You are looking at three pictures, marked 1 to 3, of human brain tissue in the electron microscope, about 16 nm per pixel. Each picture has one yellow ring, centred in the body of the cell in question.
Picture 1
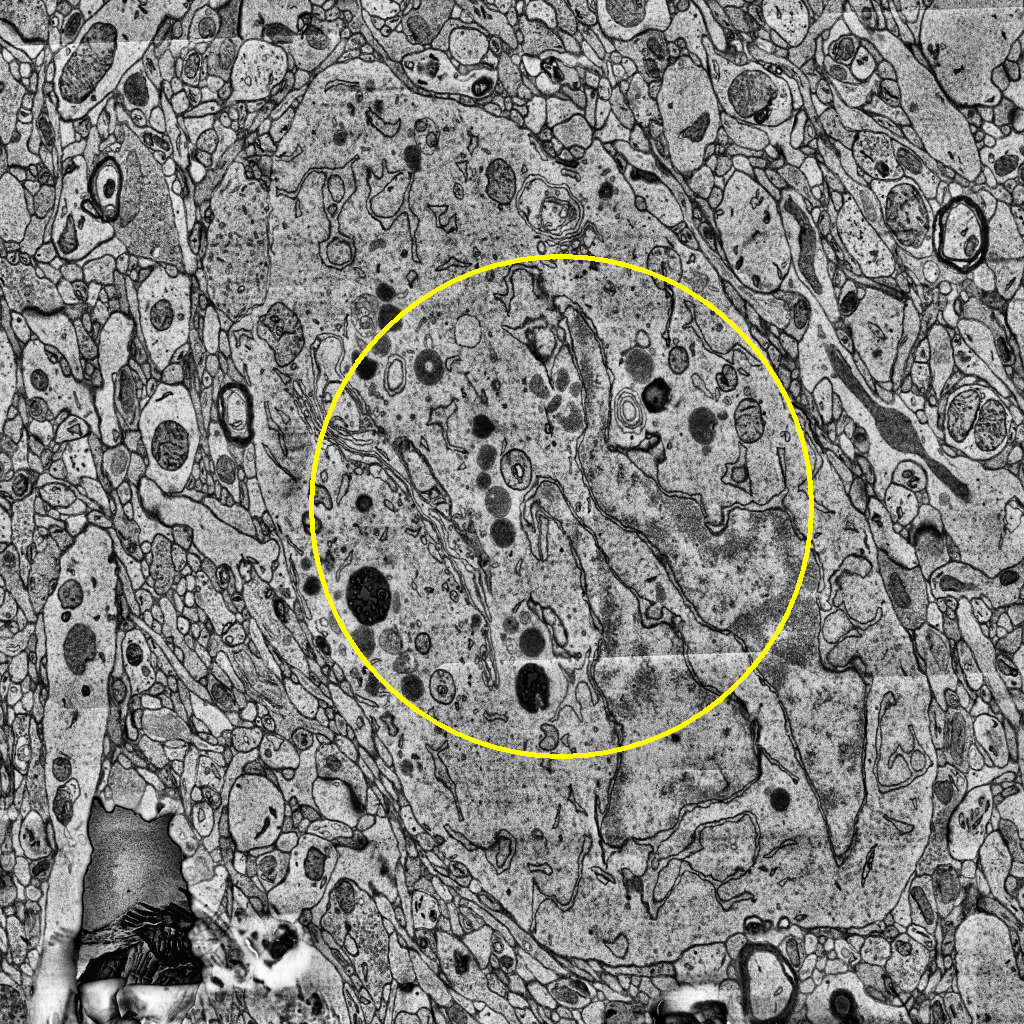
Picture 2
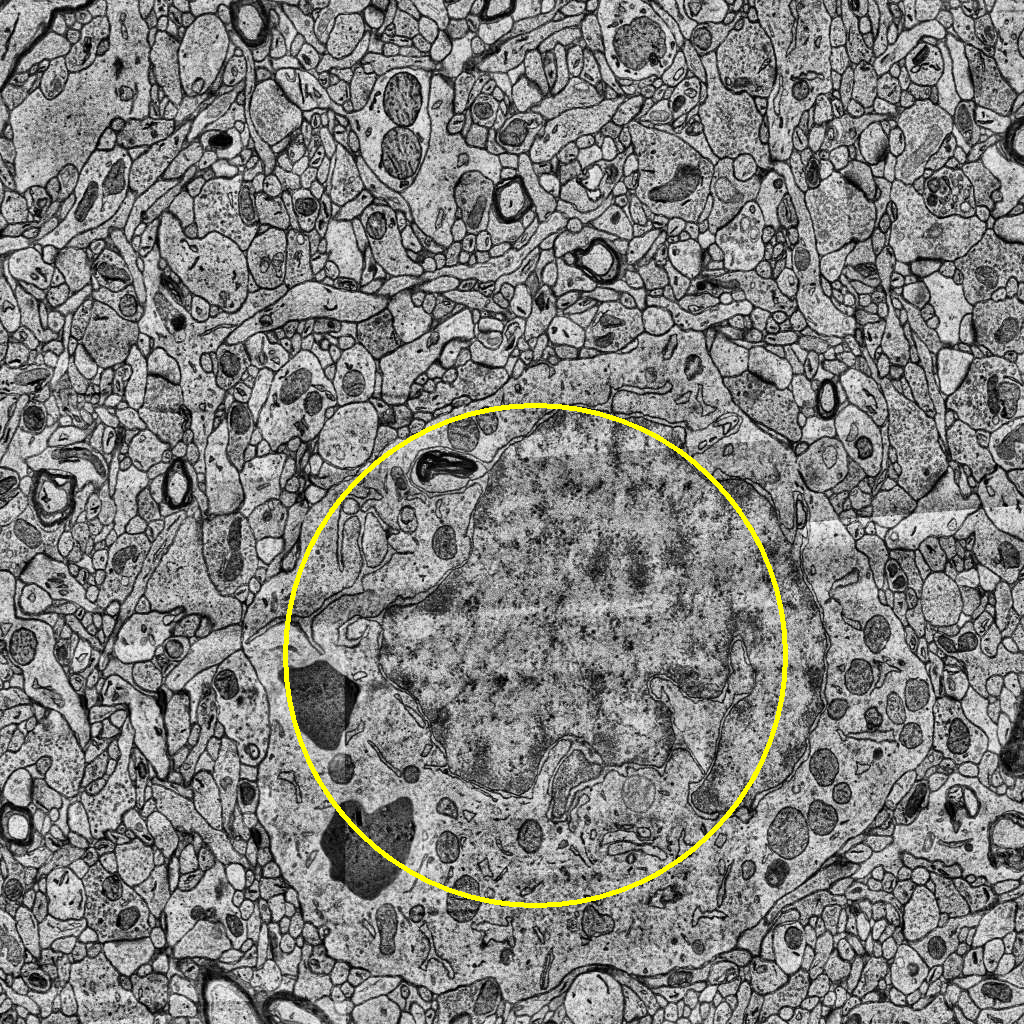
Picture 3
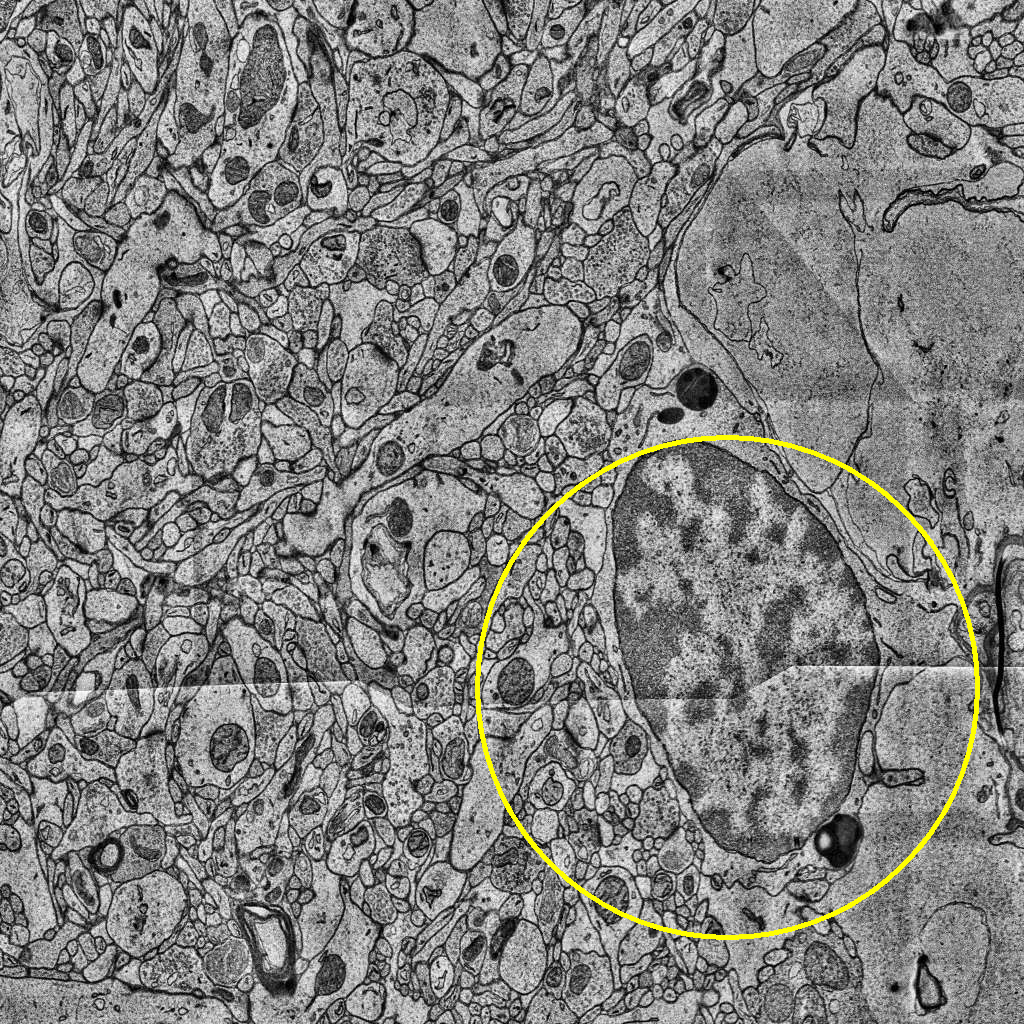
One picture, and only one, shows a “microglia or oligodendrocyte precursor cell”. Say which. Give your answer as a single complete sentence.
The picture with the “microglia or oligodendrocyte precursor cell” is 3.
